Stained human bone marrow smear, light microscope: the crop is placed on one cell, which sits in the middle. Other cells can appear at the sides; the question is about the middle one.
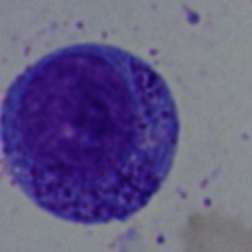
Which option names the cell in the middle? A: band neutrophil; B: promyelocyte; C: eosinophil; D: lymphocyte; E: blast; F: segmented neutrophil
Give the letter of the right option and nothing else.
B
